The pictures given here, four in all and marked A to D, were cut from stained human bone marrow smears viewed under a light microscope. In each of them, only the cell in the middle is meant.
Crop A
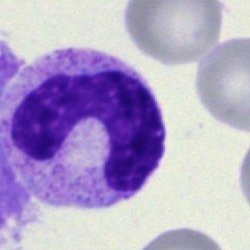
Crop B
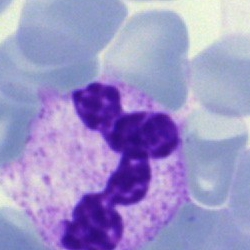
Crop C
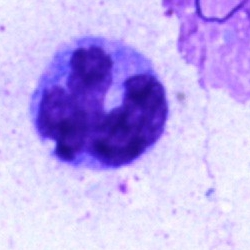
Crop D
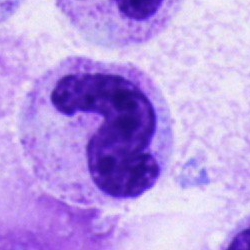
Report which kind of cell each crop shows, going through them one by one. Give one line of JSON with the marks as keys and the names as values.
{"A": "band neutrophil", "B": "segmented neutrophil", "C": "monocyte", "D": "band neutrophil"}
